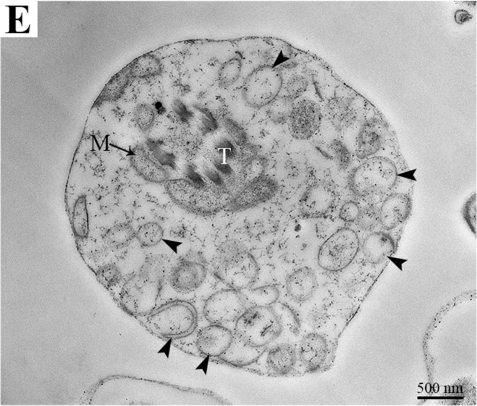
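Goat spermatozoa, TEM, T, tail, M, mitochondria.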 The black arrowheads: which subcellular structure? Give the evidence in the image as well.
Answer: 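A rounded cytoplasmic mass holds many round and oval vesicles with double outlines. Some vesicles enclose denser material.
Double-membrane autophagosome.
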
